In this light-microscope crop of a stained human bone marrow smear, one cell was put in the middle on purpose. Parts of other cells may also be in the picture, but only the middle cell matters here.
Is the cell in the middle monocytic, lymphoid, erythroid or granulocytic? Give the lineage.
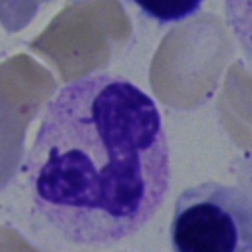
granulocytic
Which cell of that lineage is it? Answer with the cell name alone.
band neutrophil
